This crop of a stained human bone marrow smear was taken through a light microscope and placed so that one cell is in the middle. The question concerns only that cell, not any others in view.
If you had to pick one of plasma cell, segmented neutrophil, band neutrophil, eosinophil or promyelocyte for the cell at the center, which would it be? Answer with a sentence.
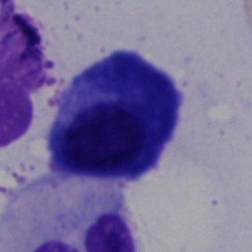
The middle of this crop holds a plasma cell.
